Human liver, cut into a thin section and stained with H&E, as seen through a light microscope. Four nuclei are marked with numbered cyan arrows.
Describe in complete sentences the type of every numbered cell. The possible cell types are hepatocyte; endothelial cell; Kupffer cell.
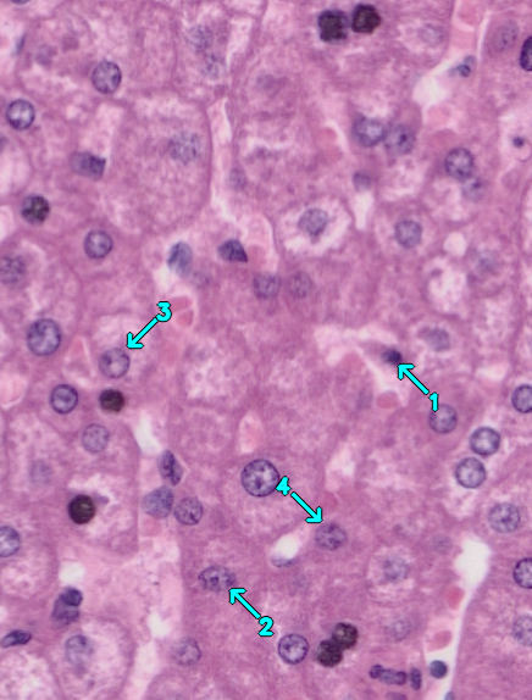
Cell 1 is a Kupffer cell, cell 2 is a hepatocyte, cell 3 is a hepatocyte and cell 4 is a hepatocyte.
